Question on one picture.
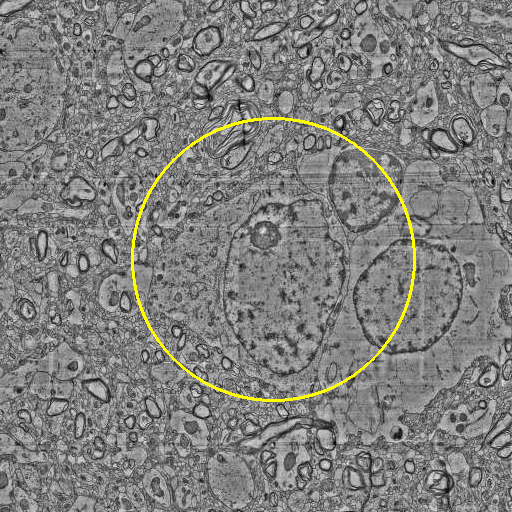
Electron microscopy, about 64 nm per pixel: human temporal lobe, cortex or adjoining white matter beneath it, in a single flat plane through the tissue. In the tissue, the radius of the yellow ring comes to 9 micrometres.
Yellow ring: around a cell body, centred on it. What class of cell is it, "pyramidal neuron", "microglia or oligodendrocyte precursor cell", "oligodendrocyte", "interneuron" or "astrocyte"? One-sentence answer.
This is an interneuron, the cell the ring is centred on.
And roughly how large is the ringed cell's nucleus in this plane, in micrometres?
Approximately 11 x 8 micrometres in this plane.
